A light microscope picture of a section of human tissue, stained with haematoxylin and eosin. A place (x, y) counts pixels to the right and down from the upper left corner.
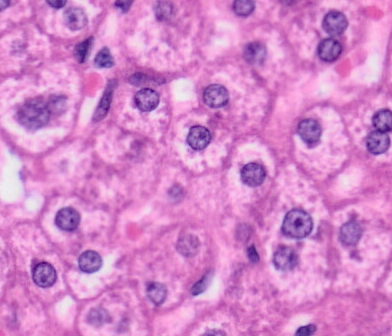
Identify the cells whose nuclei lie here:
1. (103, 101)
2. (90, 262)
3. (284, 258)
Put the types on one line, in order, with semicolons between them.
Kupffer cell; hepatocyte; hepatocyte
